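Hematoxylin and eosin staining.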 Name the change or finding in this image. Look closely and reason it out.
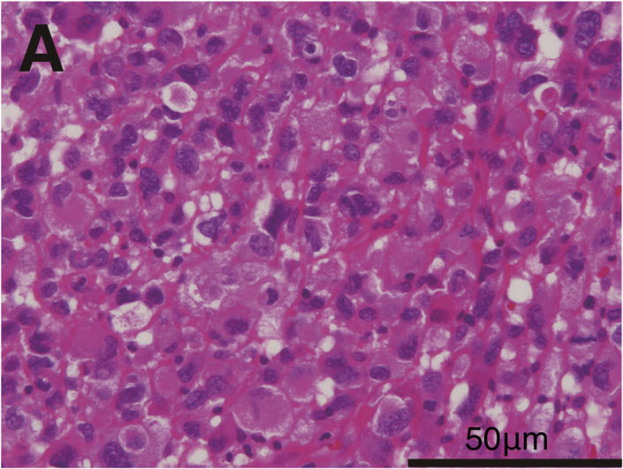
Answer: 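Many nuclei sit to one side of their cells. Nuclei are large and dark purple. Cells have abundant pink cytoplasm. That points to this answer: eccentrically placed, enlarged hyperchromatic nuclei.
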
